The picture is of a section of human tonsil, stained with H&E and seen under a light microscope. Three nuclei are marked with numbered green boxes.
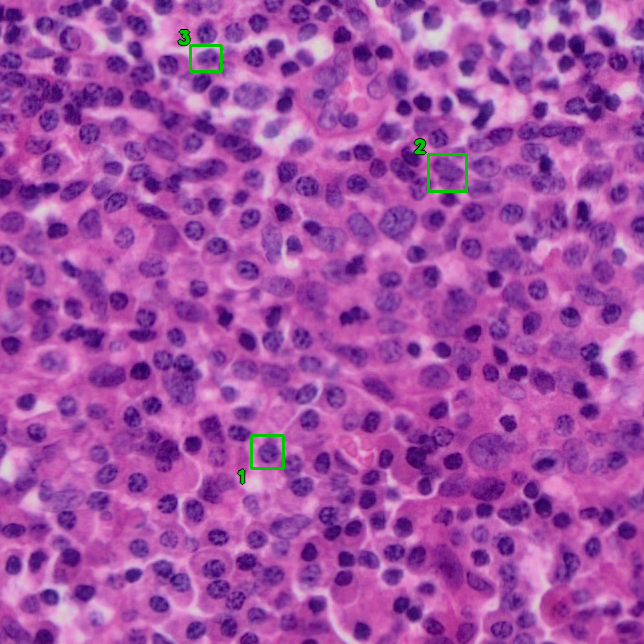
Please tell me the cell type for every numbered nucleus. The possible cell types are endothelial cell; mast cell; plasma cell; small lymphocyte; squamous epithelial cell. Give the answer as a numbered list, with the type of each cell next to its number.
1. plasma cell
2. squamous epithelial cell
3. plasma cell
